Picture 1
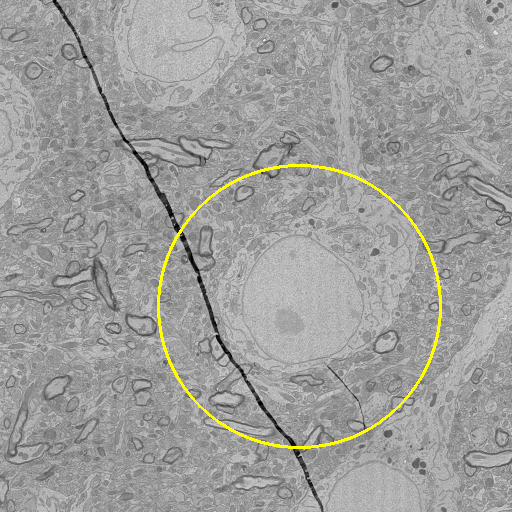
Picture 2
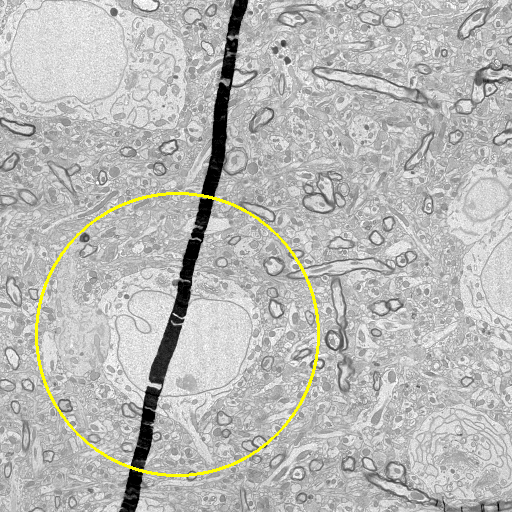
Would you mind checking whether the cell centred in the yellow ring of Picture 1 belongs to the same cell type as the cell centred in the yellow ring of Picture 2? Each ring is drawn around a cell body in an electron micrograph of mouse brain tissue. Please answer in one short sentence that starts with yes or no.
Yes, both cells are of the same type.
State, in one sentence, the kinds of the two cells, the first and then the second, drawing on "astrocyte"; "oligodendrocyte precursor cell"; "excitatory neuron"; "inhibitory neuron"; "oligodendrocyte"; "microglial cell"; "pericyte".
Each of the ringed cells, first and second, is an excitatory neuron.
